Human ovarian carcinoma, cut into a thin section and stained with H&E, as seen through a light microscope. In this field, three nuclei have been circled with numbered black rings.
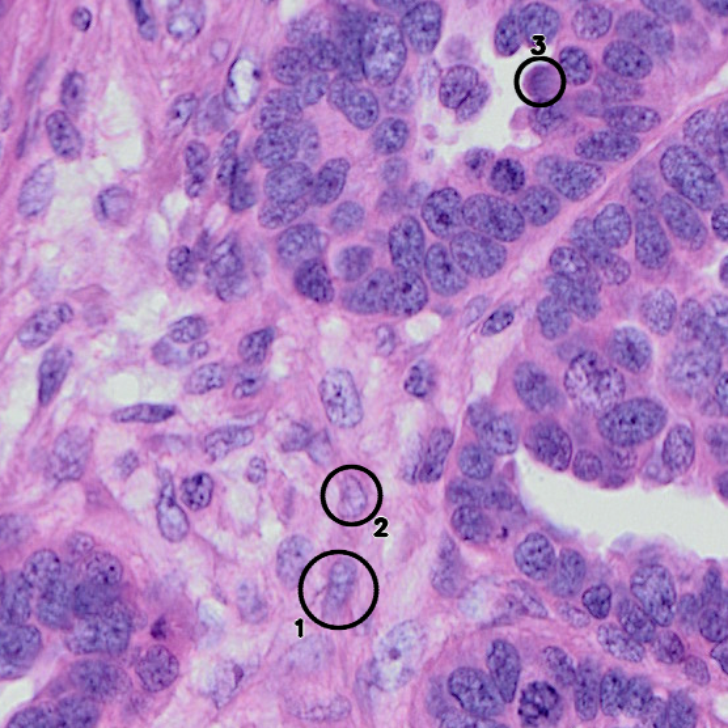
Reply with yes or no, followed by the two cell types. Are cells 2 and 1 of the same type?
Yes, that is right: cells 2 and 1 are both fibroblasts.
